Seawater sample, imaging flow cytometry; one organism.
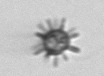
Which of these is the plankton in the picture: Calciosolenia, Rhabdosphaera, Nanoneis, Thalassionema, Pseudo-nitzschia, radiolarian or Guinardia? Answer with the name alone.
Rhabdosphaera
